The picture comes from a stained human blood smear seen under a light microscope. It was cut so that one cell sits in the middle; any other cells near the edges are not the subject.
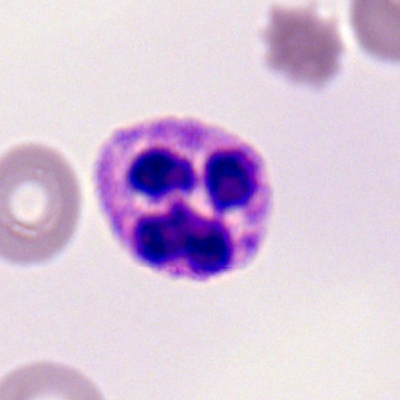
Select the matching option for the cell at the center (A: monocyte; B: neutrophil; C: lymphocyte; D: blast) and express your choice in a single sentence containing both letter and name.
The cell at the centre is a neutrophil, and option B accordingly is correct.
